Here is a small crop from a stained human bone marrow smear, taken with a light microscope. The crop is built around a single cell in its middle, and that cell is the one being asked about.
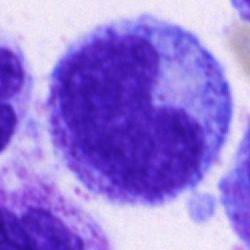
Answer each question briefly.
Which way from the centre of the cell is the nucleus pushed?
lower left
